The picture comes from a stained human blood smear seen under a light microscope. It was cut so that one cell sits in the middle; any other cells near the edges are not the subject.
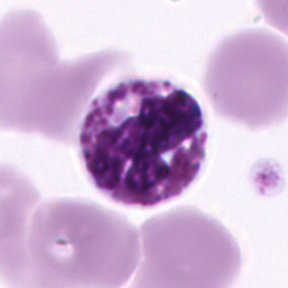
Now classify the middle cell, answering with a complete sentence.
Present in the middle of the crop is an eosinophil.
